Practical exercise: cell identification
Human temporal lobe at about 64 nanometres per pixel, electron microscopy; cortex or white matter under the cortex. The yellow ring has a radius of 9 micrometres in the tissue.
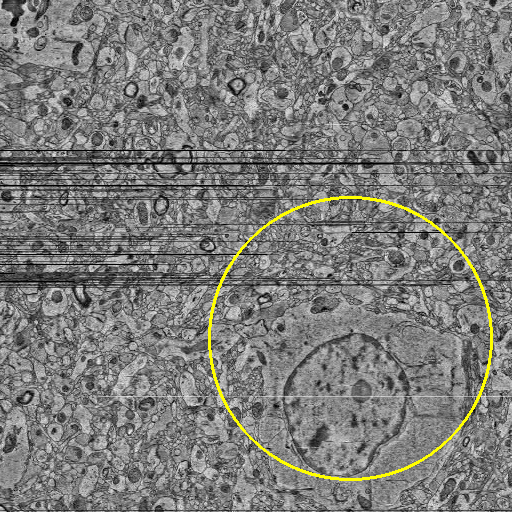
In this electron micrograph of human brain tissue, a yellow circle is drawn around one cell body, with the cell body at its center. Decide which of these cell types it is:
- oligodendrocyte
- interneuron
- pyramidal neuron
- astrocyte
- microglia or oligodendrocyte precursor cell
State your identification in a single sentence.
The ringed cell is an astrocyte.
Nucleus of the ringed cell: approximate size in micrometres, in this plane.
Approximately 10 by 8 micrometers in this plane.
